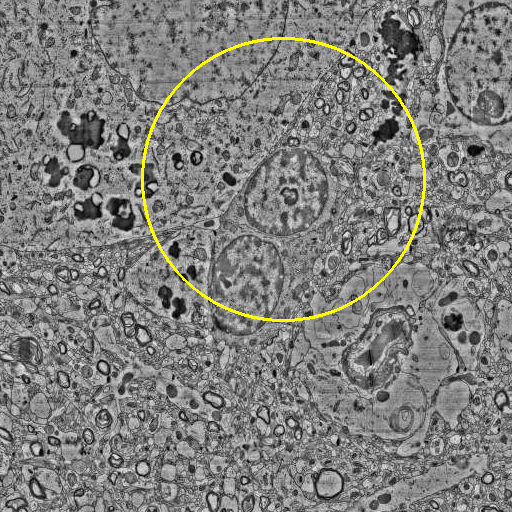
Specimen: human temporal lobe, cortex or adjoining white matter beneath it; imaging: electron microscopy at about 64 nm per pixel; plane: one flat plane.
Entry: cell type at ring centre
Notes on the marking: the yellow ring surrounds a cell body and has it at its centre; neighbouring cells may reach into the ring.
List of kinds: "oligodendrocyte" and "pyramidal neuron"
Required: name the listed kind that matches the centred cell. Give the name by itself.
oligodendrocyte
